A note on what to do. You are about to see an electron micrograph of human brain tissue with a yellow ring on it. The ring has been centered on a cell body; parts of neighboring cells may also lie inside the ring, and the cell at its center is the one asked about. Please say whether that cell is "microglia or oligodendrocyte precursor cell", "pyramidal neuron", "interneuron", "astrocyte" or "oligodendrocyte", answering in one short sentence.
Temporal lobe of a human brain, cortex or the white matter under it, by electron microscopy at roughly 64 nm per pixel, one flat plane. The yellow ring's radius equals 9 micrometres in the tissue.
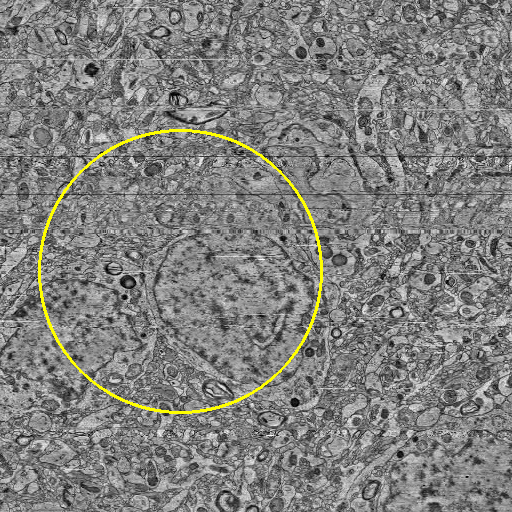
The yellow ring sits on an interneuron.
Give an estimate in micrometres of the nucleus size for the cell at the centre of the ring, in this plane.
The ringed cell's nucleus is about 12 micrometres long and 9 micrometres wide in this plane.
